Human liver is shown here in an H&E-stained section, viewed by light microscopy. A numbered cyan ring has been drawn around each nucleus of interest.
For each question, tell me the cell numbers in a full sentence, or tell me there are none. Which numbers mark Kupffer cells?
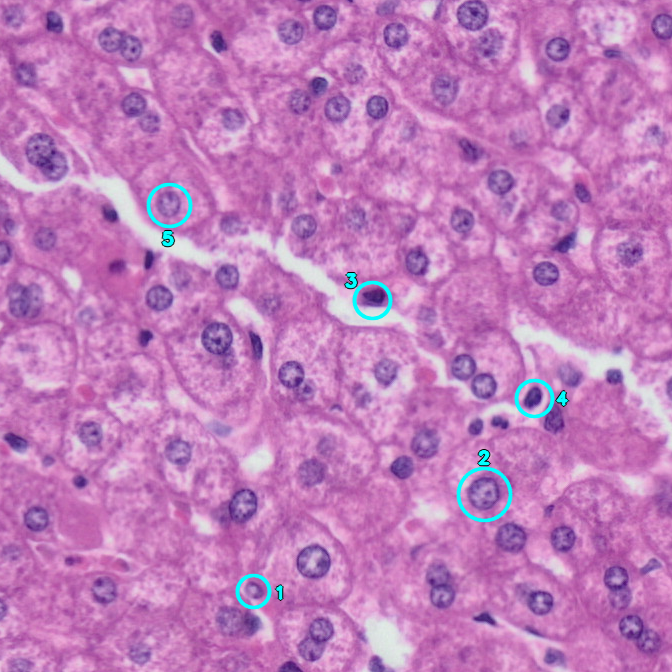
In terms of cell type, cells 1 and 3 are Kupffer cells.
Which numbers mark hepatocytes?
The cells 2 and 5 in this section are hepatocytes.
